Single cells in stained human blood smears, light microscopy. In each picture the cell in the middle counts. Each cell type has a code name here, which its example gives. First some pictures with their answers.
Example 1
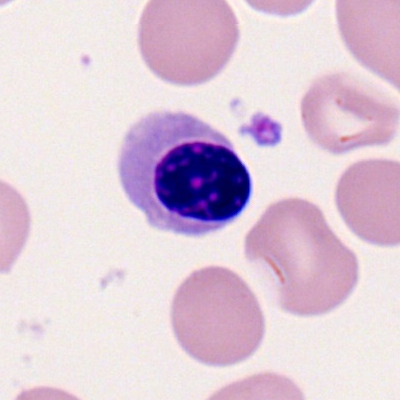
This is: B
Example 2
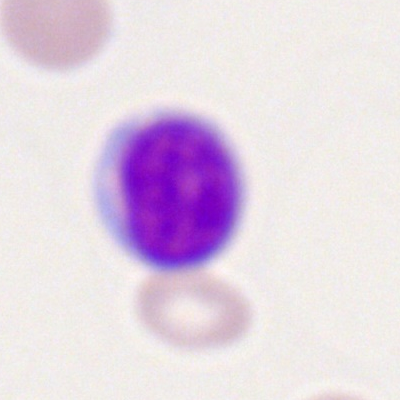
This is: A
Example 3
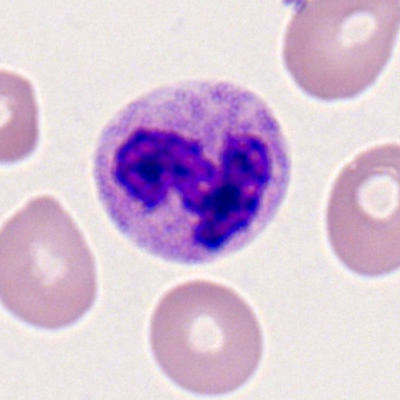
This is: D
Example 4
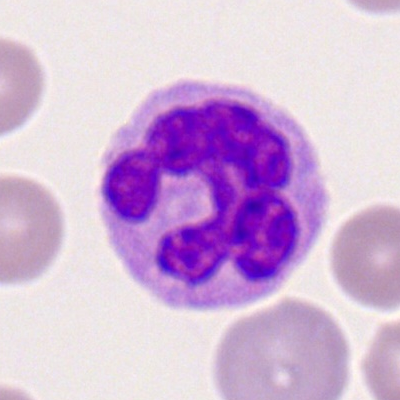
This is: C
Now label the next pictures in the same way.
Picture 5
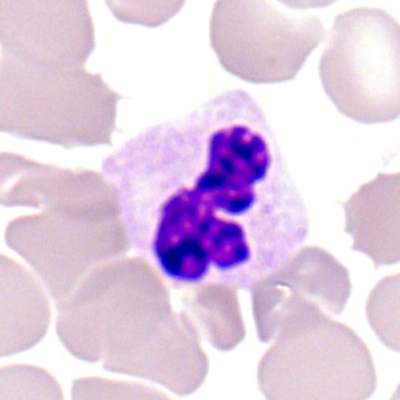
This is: D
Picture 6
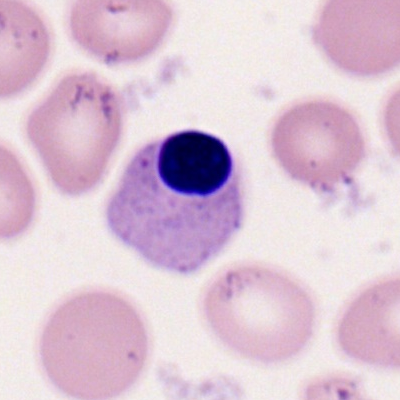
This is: B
